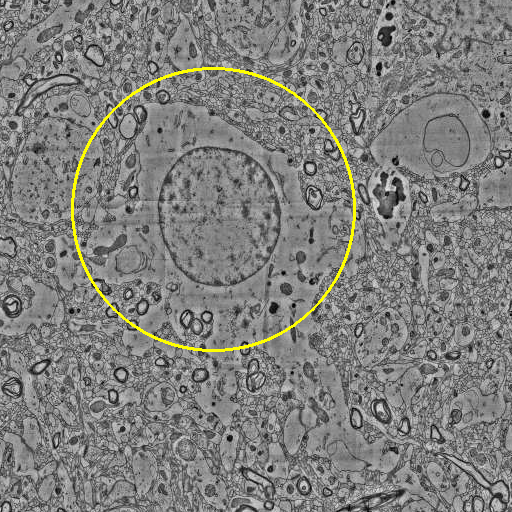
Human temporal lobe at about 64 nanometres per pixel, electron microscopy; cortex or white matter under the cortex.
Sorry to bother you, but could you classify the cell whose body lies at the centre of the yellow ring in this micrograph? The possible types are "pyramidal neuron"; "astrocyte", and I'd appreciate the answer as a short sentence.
The ringed cell body is that of an astrocyte.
